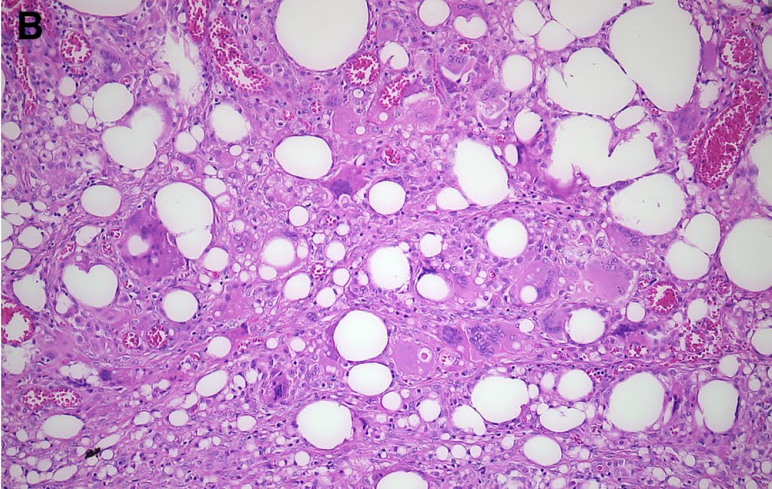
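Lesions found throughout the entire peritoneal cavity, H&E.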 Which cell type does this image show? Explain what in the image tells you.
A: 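Large cells with abundant pink cytoplasm containing several nuclei. These large cells lie against the rims of clear round vacuoles. Smaller round inflammatory cells fill the tissue between the vacuoles.
Answer: multinucleated foreign giant cells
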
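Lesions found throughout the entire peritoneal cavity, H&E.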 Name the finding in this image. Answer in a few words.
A: Lipogranulomatous inflammatory reaction.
